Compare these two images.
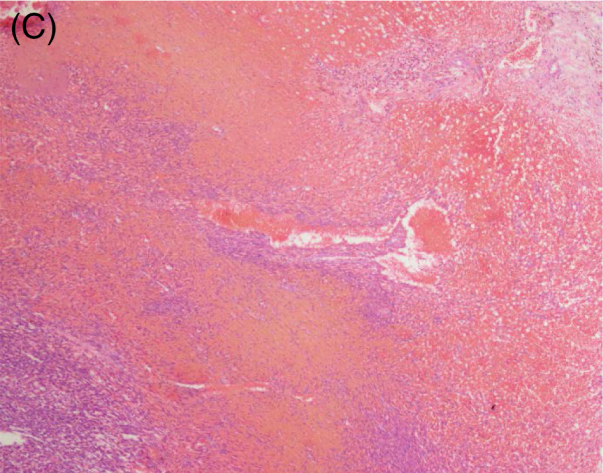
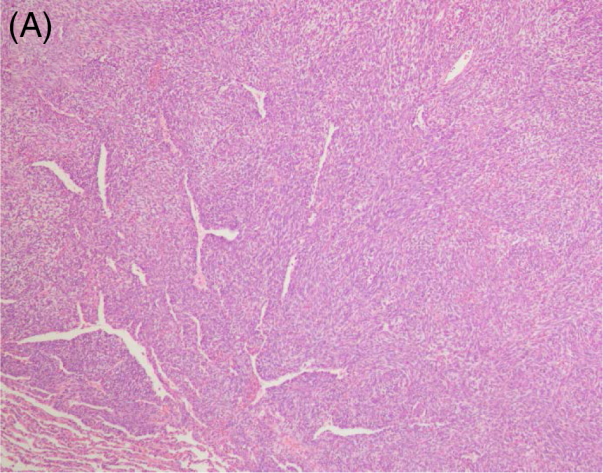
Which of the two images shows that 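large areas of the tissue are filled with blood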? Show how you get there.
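First image: broad pink-red expanses of blood take up most of the field, with only strips of purple cellular tissue. Second image: a uniform purple sheet of packed cells with no pools of blood. The answer: the first image.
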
